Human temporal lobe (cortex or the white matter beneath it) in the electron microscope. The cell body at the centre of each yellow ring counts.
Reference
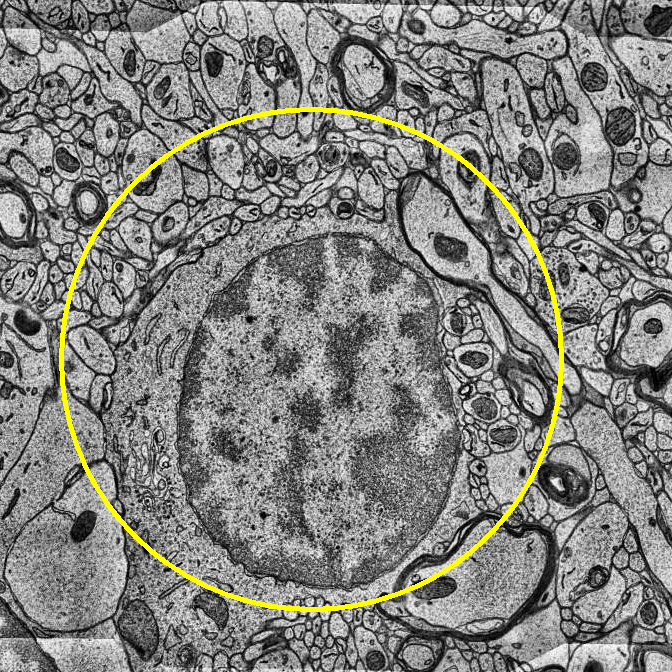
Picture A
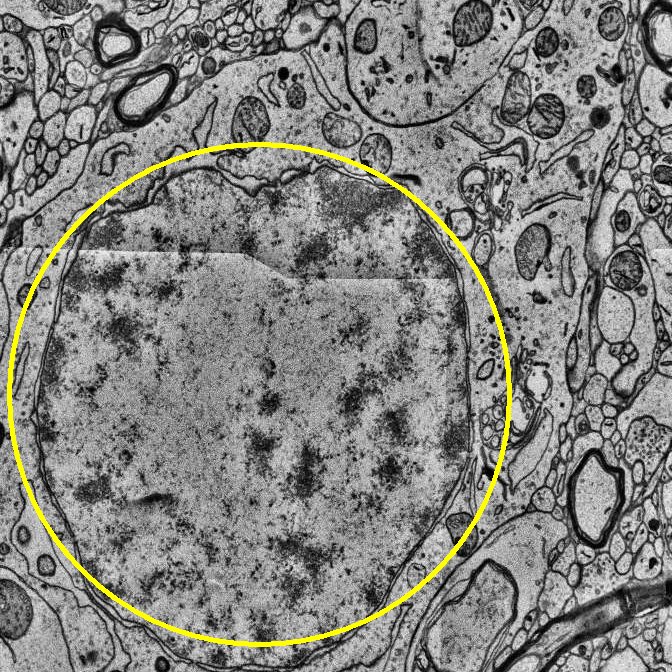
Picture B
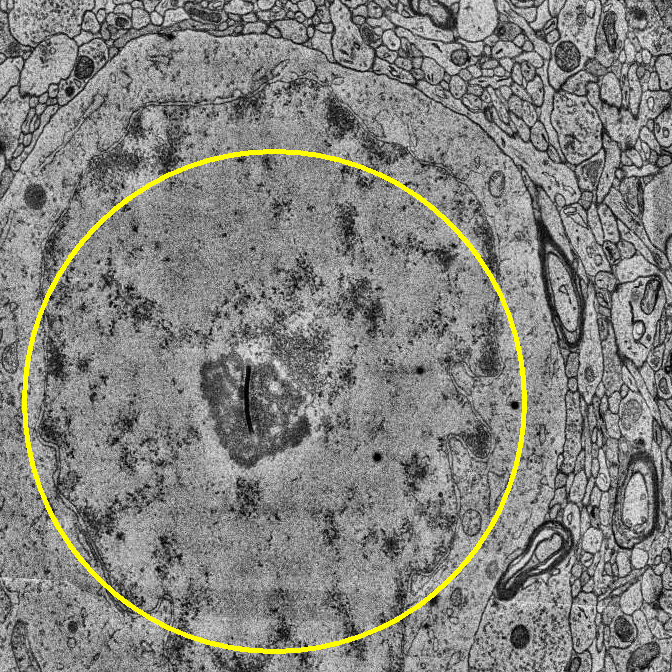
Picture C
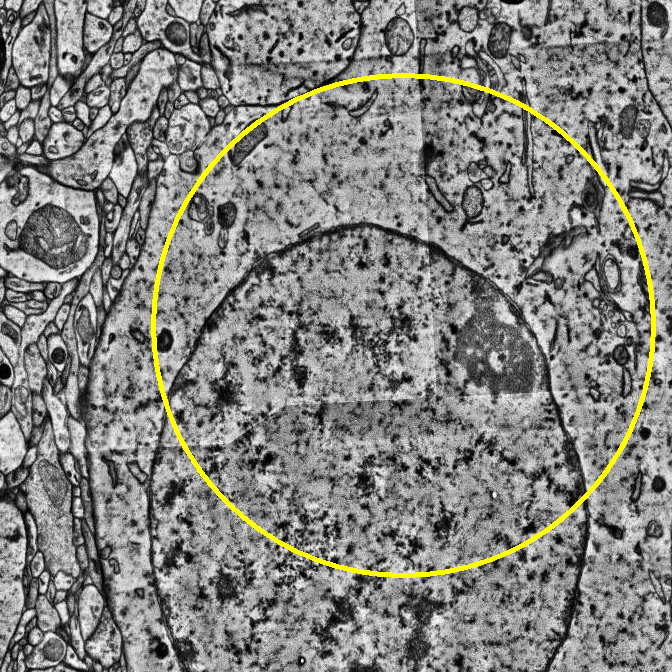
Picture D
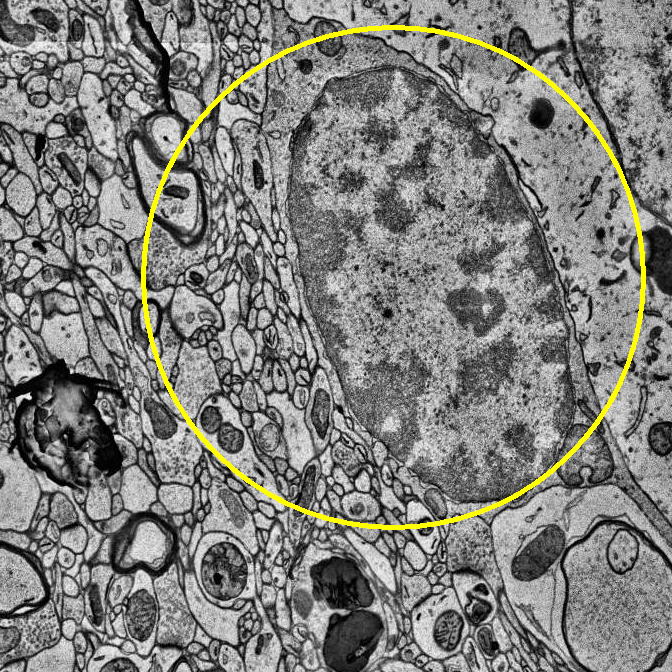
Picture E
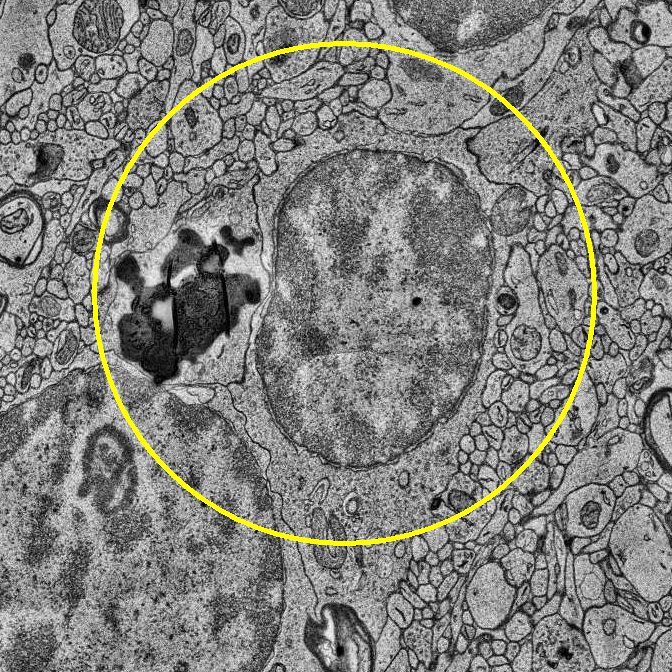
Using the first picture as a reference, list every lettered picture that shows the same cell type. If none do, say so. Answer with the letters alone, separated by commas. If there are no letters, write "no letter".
D, E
